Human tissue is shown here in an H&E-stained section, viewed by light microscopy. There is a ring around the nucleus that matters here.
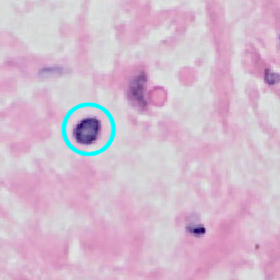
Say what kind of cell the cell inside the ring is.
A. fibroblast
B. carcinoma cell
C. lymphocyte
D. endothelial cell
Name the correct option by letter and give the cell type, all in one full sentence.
Option C is the right one; the cell inside the ring is a lymphocyte.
